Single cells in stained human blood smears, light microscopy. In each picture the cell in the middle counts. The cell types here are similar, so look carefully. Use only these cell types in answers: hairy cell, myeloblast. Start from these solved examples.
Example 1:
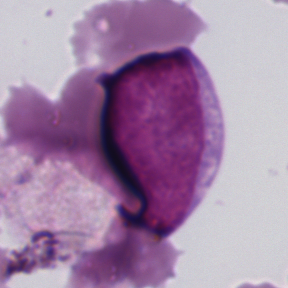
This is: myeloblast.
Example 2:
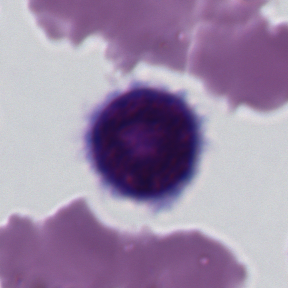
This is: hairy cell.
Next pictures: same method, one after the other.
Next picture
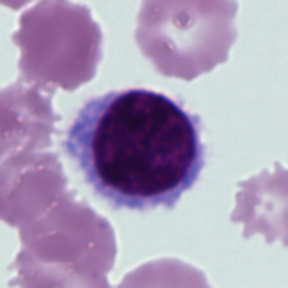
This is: hairy cell.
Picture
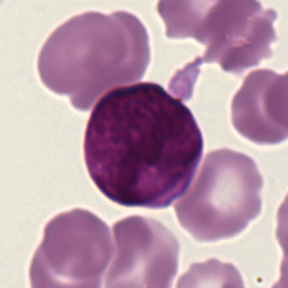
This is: myeloblast.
